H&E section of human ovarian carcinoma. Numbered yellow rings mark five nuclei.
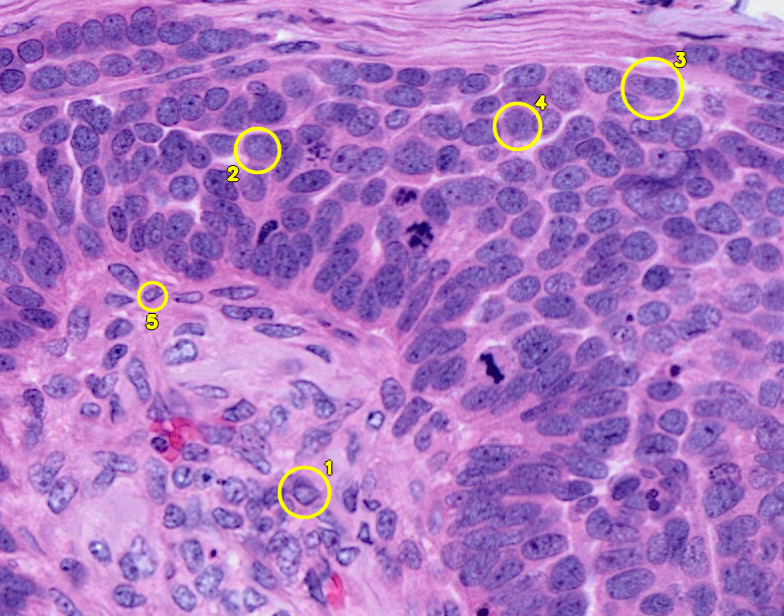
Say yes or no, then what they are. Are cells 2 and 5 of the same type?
No, that does not hold; cell 2 is a carcinoma cell and cell 5 is a fibroblast.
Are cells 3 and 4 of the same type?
Yes, of the numbered cells, 3 and 4 are both carcinoma cells.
